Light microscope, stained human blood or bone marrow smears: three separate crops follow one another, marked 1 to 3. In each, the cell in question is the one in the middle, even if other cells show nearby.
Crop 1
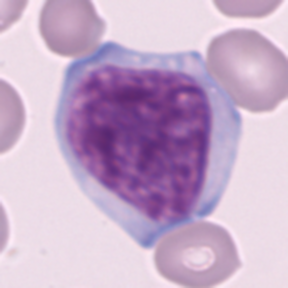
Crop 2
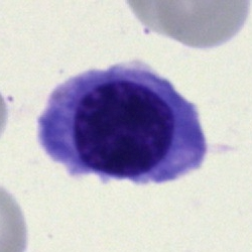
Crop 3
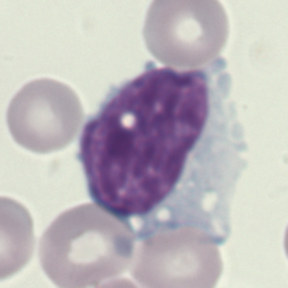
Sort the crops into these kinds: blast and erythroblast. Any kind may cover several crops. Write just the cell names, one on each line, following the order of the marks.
blast
erythroblast
blast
